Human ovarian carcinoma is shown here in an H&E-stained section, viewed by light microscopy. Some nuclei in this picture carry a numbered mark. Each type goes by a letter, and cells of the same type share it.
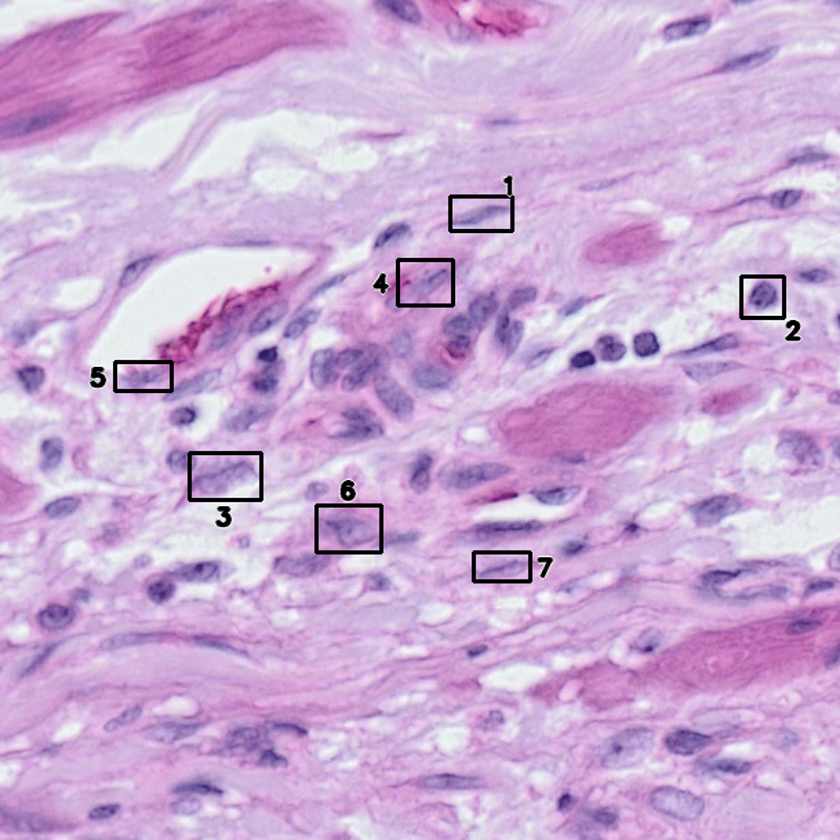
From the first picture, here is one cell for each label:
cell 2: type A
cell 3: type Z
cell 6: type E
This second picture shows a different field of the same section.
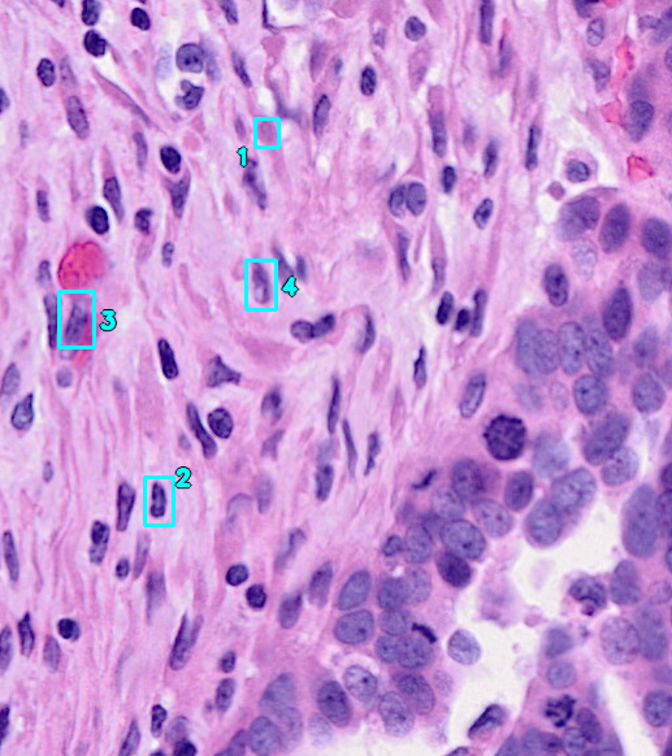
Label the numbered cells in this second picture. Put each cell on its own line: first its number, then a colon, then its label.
1: type Z
2: type A
3: type E
4: type Z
